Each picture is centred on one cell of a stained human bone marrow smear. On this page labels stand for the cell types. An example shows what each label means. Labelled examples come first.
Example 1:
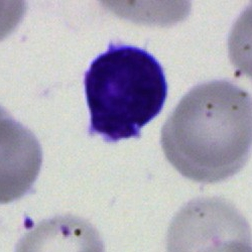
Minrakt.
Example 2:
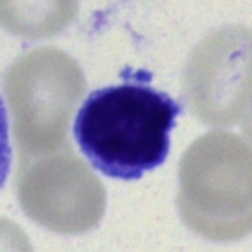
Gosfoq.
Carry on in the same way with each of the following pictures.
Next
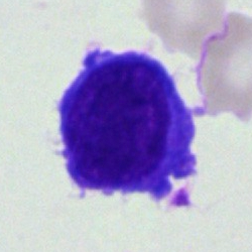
Minrakt.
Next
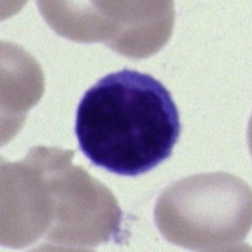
Gosfoq.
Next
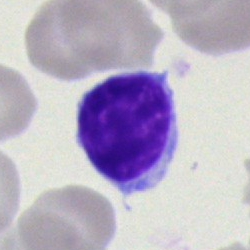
Gosfoq.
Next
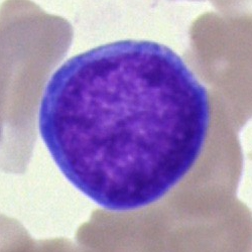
Minrakt.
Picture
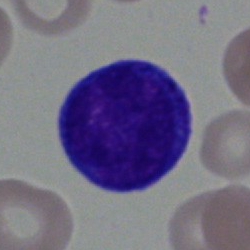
Minrakt.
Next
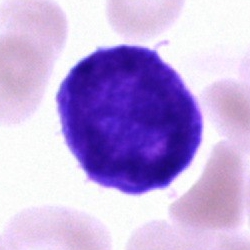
Minrakt.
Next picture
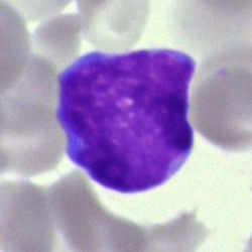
Minrakt.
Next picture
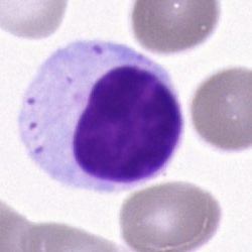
Gosfoq.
